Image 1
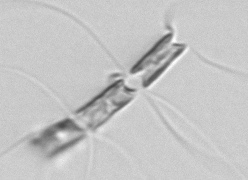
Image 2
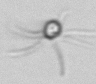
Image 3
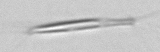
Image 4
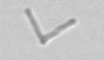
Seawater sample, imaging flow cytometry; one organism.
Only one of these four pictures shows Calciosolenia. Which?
Picture 3.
